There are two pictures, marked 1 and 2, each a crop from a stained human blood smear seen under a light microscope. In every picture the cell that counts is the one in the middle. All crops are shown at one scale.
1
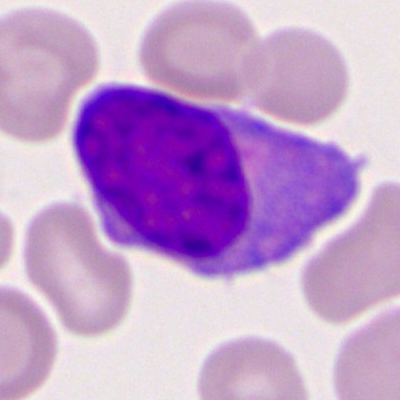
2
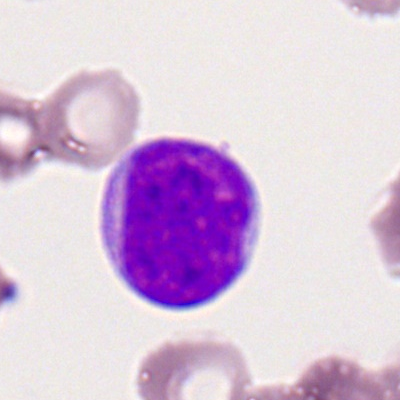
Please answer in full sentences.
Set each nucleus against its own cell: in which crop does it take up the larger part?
In crop 2 the nucleus takes up the larger part of its cell.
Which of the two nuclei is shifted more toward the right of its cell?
Seen within its cell, the nucleus in crop 2 lies further toward the right.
